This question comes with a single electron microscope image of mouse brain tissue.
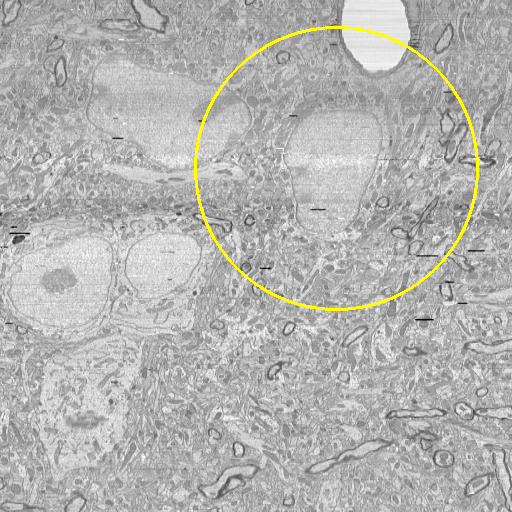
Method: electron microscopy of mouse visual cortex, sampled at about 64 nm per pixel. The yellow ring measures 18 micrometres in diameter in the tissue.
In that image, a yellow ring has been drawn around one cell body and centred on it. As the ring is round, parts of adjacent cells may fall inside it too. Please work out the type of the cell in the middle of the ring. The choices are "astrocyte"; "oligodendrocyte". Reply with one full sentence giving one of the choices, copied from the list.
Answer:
Of the choices, an astrocyte is the cell sitting in the middle of the ring.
